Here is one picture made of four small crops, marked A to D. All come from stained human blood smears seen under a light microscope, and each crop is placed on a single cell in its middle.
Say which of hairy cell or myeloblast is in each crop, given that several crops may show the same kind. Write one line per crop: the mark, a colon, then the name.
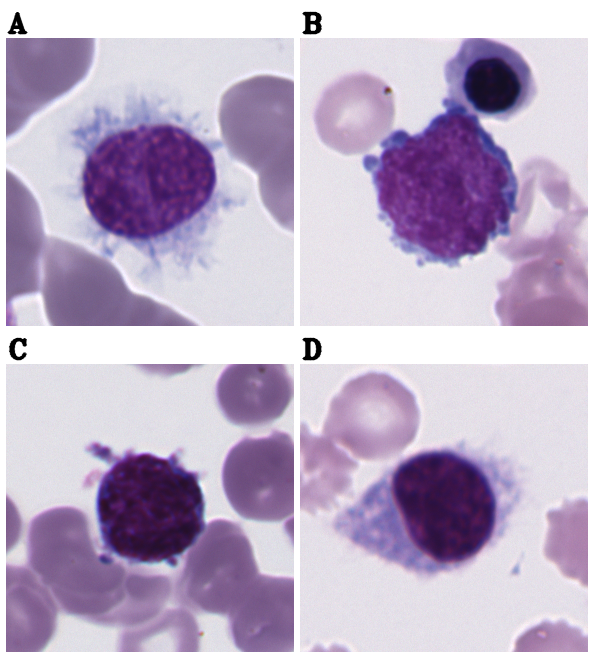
A: hairy cell
B: myeloblast
C: myeloblast
D: hairy cell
